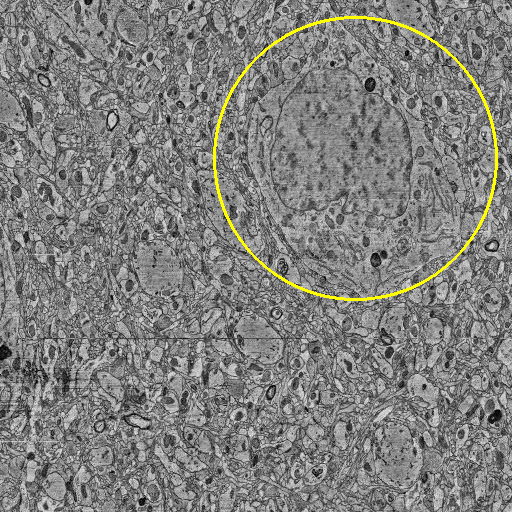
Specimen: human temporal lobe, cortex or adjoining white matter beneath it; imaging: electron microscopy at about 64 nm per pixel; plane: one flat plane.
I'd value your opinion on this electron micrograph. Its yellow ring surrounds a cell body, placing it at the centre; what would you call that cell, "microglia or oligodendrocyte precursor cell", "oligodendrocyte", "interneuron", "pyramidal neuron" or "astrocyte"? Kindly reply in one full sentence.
It is an interneuron that sits centred within the yellow ring in this micrograph.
